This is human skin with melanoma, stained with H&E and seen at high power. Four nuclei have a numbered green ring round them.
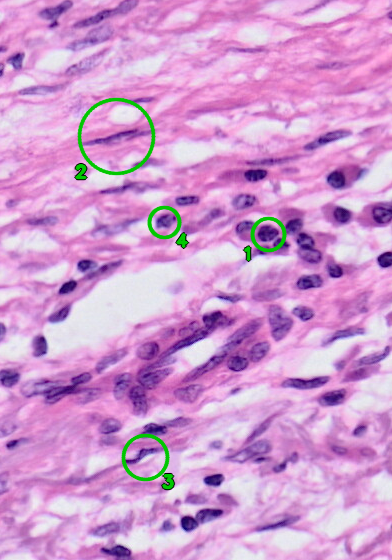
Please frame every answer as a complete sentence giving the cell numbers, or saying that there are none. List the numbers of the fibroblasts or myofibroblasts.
The cells the numbers 2 and 3 point to are fibroblasts or myofibroblasts.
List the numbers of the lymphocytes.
There is just one numbered cell that is a lymphocyte, and it is cell 4.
